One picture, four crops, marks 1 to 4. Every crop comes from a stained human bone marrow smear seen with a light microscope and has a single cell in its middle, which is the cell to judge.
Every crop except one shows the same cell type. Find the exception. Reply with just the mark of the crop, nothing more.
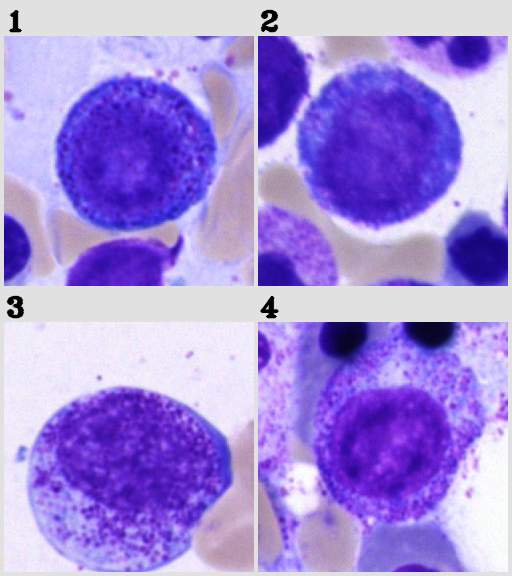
4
